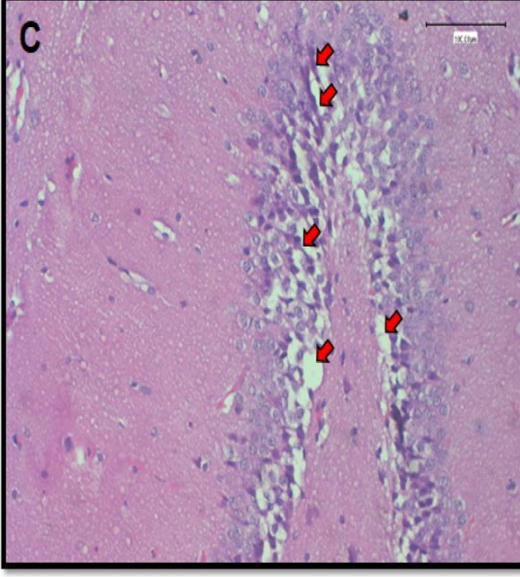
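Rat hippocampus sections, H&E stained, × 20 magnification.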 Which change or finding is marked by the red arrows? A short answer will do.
Vacuolation and oedema.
